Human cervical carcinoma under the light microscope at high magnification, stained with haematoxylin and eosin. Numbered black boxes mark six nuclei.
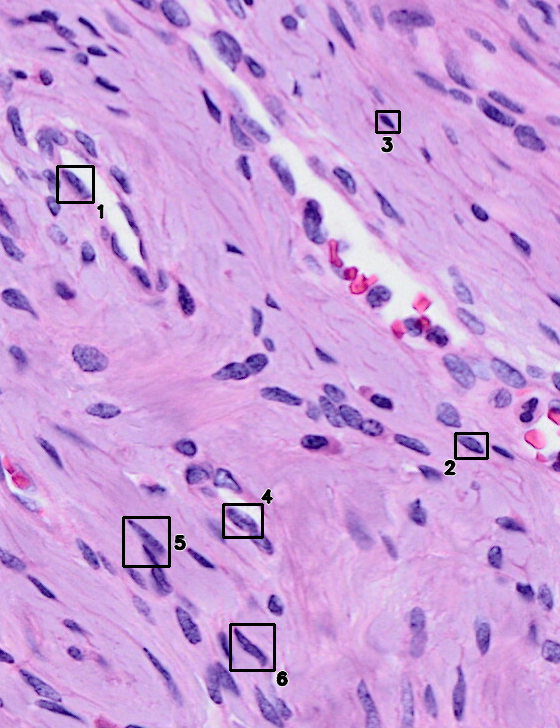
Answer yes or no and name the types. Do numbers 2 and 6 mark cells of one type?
Yes, both are fibroblasts.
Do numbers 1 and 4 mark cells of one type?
Yes, both are endothelial cells.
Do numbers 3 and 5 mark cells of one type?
Yes, both are fibroblasts.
